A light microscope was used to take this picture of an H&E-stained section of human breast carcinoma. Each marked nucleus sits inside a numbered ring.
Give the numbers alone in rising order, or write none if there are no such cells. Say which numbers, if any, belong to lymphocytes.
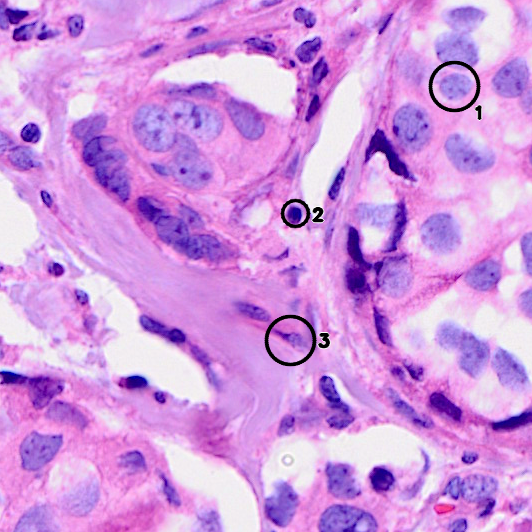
2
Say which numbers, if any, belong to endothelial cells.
3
